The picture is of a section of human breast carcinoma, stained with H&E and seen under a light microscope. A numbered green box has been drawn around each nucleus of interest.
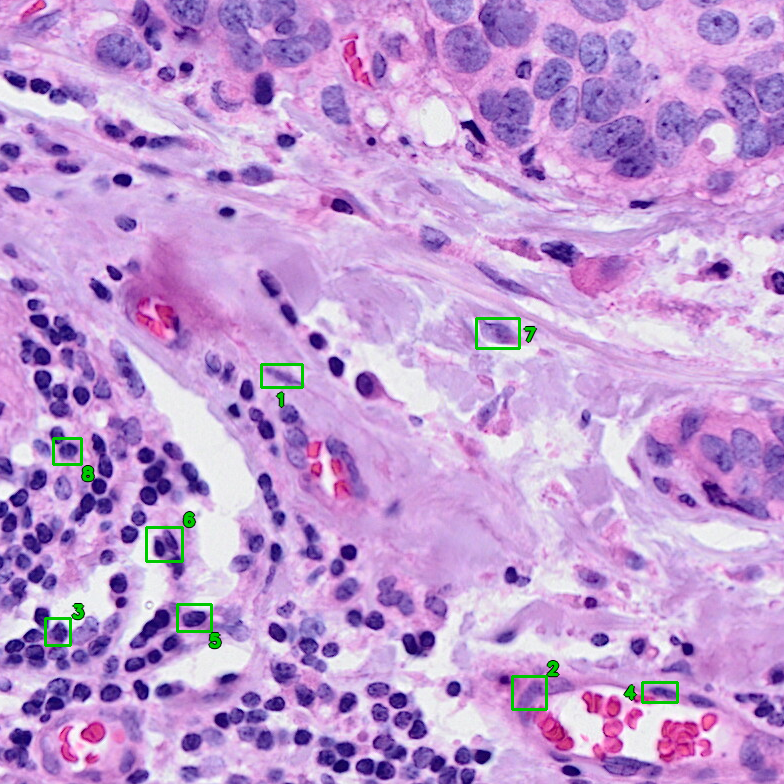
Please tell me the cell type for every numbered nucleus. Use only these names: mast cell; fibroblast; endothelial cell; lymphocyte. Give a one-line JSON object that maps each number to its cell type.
{"1": "fibroblast", "2": "endothelial cell", "3": "lymphocyte", "4": "endothelial cell", "5": "lymphocyte", "6": "lymphocyte", "7": "fibroblast", "8": "lymphocyte"}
